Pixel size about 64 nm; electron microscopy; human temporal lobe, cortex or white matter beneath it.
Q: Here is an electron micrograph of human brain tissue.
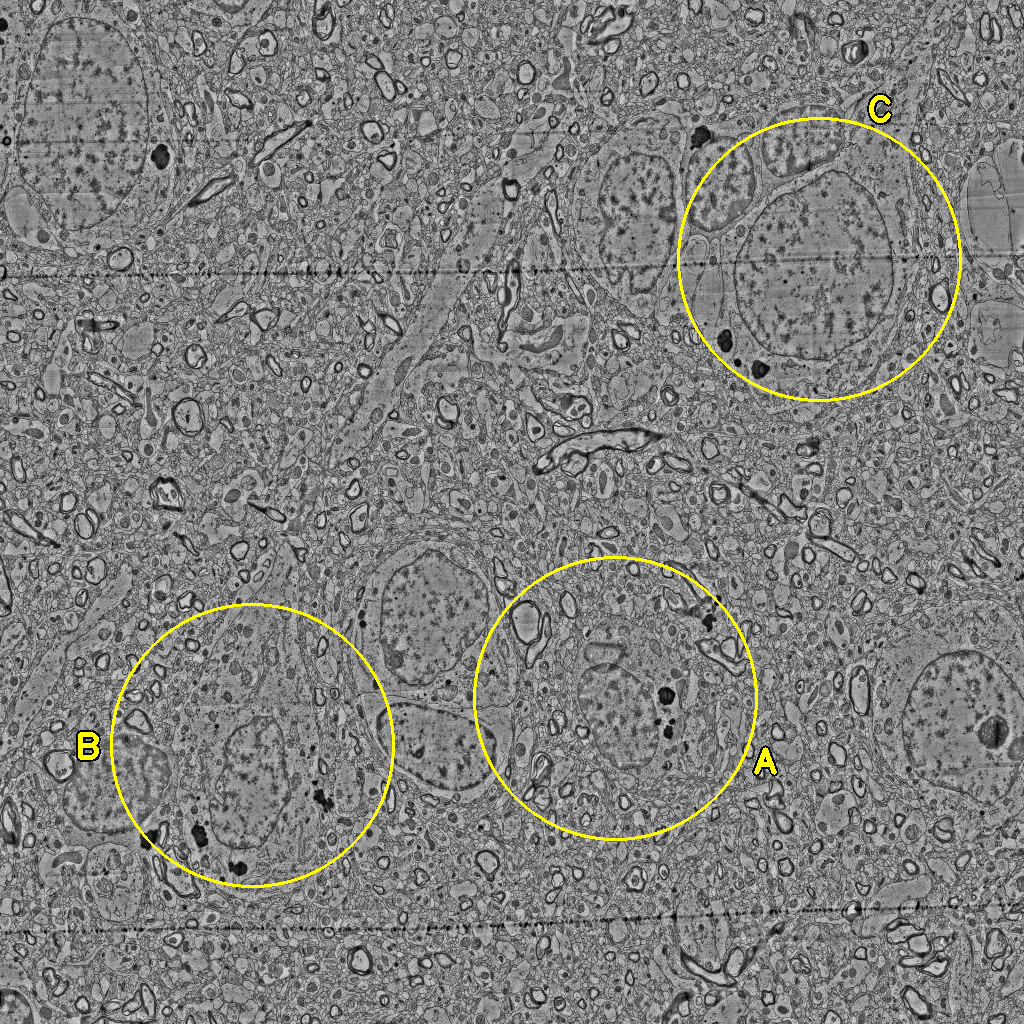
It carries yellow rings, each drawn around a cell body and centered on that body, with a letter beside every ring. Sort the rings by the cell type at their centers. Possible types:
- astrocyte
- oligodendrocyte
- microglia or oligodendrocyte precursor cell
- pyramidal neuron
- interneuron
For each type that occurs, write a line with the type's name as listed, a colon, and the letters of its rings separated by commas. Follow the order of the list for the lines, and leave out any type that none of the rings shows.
oligodendrocyte: A
pyramidal neuron: B, C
